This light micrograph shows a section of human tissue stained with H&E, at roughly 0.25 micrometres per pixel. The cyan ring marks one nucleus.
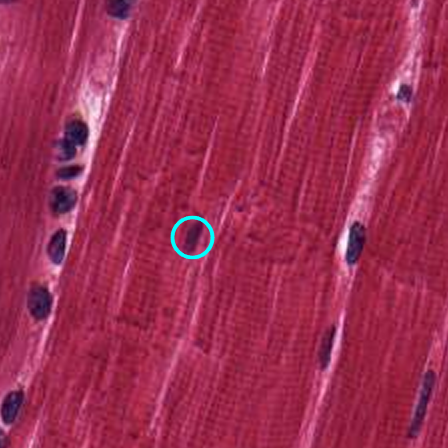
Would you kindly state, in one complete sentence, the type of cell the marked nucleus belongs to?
The nucleus bearing the mark belongs to a skeletal muscle fibre.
